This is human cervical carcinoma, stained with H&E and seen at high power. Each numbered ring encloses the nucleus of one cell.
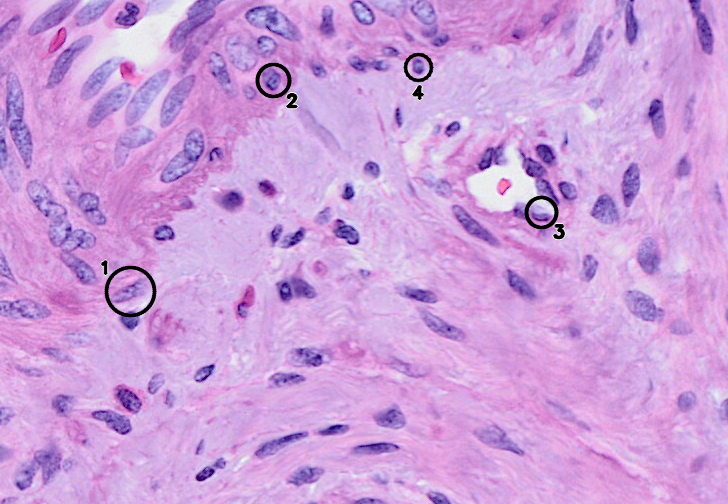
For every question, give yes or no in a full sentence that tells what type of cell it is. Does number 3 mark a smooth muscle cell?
No, it is an endothelial cell, not a smooth muscle cell, that number 3 marks.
